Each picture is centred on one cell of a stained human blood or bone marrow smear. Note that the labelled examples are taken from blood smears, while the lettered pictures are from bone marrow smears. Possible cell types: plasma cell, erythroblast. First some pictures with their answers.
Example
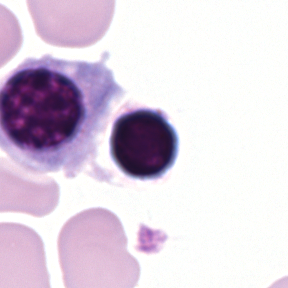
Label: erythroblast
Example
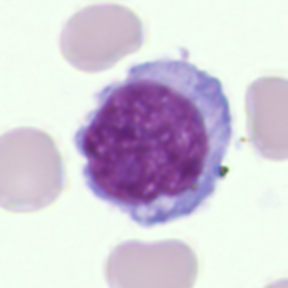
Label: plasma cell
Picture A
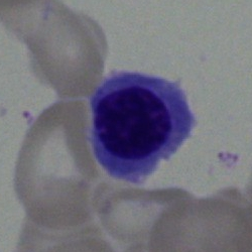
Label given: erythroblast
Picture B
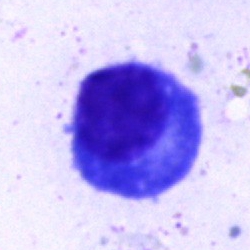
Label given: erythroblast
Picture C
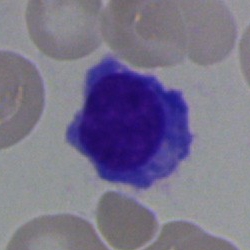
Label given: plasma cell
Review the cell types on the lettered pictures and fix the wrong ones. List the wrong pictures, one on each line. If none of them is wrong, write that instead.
B should be plasma cell, not erythroblast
